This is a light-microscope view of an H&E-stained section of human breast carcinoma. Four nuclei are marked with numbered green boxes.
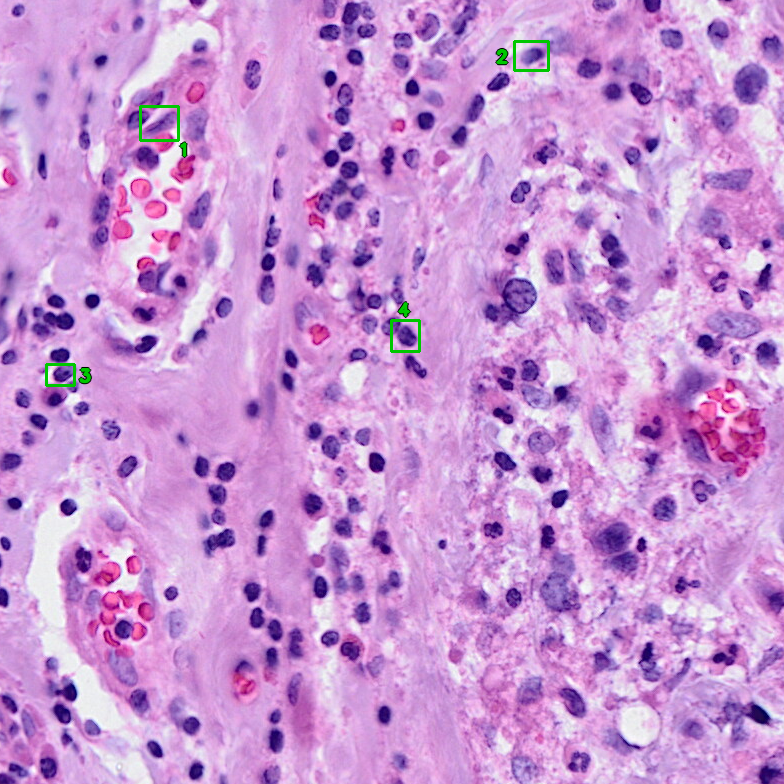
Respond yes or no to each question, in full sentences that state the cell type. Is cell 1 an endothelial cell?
Yes, the cell given number 1 is an endothelial cell.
